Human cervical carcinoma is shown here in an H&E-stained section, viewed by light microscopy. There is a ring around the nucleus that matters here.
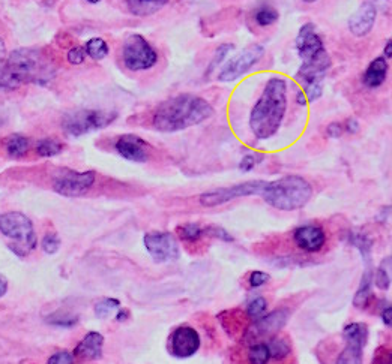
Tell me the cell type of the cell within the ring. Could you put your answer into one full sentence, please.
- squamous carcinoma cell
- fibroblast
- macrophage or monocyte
Recorded by type, the cell within the ring is a macrophage or monocyte.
